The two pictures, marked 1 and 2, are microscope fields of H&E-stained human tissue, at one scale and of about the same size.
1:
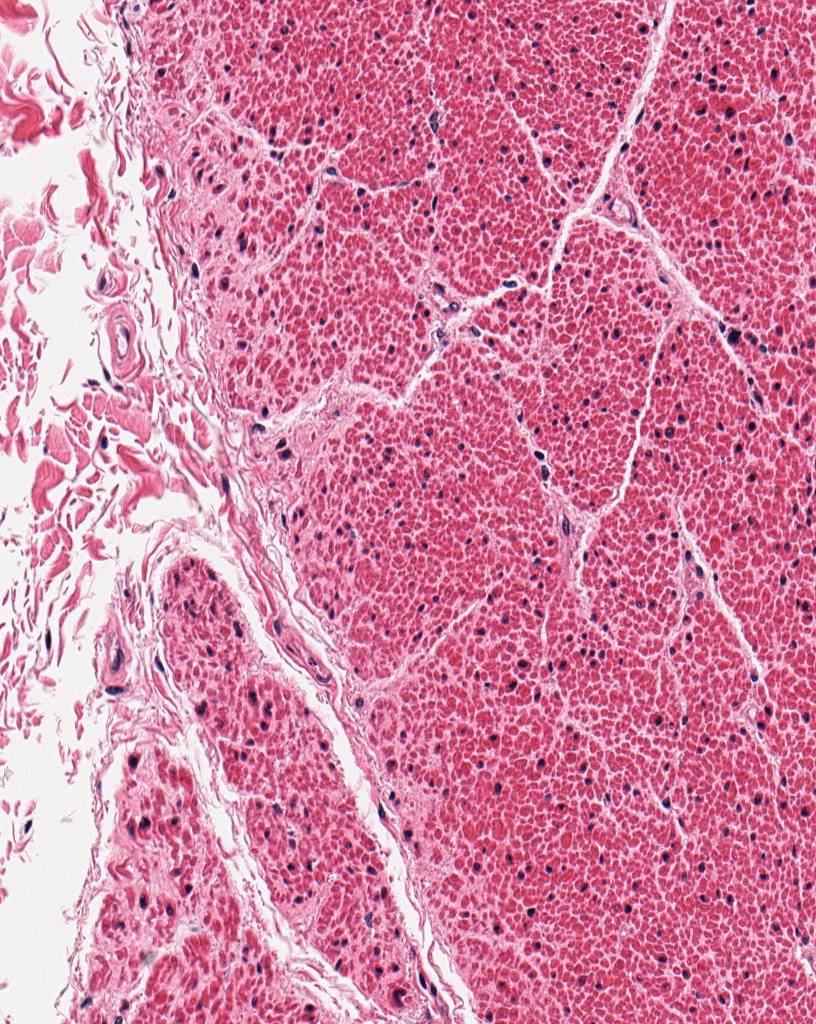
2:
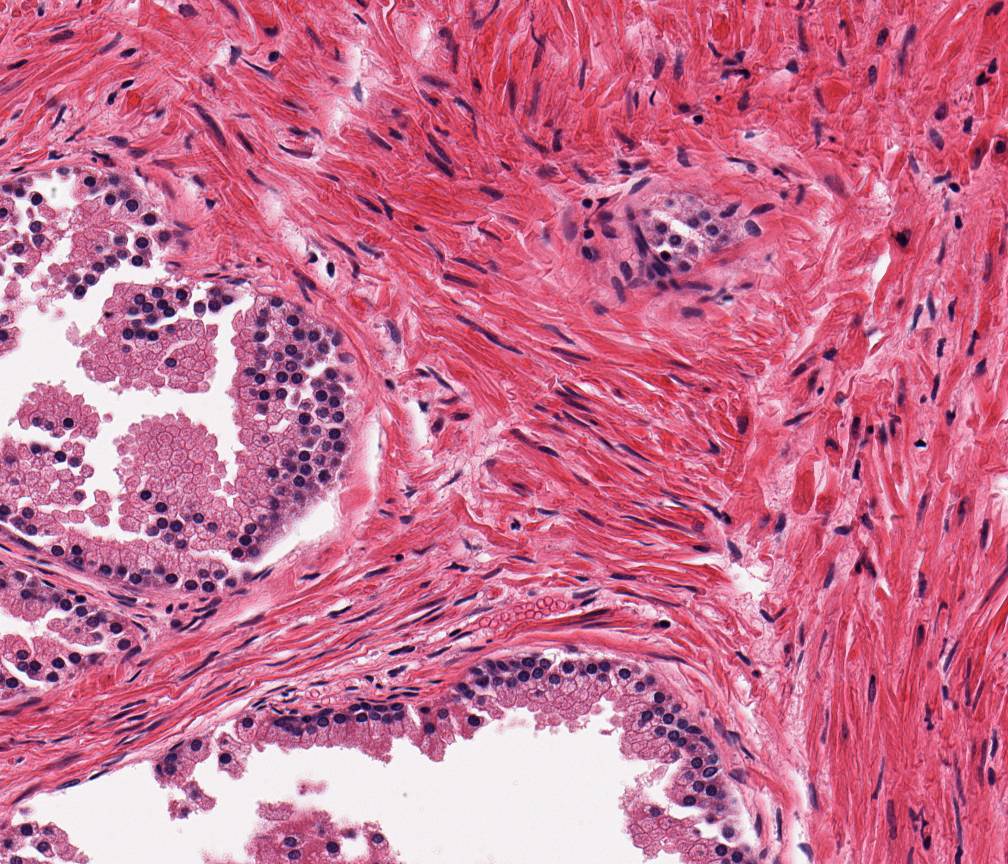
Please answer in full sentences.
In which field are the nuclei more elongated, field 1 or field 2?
On the whole the nuclei of field 2 are more drawn out than those of field 1.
